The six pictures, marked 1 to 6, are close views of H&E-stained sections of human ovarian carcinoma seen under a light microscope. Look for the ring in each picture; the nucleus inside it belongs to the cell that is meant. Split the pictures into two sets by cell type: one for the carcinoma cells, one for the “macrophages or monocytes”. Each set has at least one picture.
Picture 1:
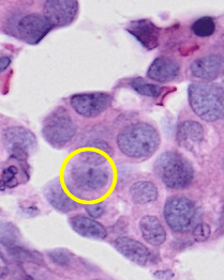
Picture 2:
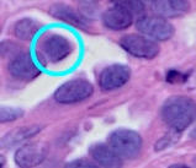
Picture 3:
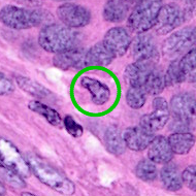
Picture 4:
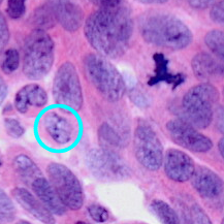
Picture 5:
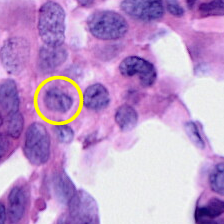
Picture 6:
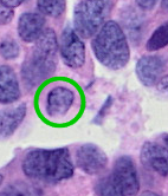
1: carcinoma cell
2: carcinoma cell
3: macrophage or monocyte
4: macrophage or monocyte
5: macrophage or monocyte
6: macrophage or monocyte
